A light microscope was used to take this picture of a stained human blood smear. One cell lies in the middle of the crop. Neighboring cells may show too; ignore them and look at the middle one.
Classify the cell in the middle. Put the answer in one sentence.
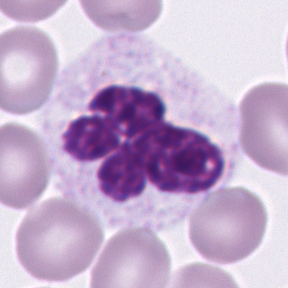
In the middle of this smear crop, the cell is a segmented neutrophil.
